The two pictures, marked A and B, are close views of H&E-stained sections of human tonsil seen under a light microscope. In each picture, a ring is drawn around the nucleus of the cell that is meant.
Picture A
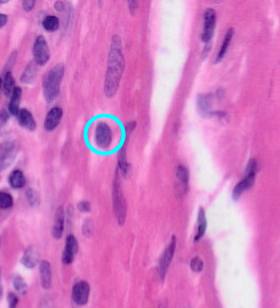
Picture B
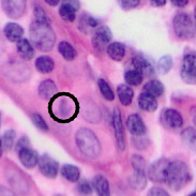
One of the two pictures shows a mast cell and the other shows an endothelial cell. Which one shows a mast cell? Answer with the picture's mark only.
A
